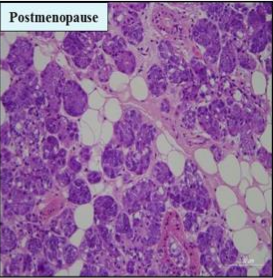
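This is salivary gland tissue in which lobules of purple-staining acini are interrupted by many large, round, empty-looking spaces. The spaces are clear with thin walls, the look of fat cells whose contents have washed out during processing. They gather especially along a pale pink band of connective tissue that runs across the field. The acini themselves are rounded clusters of cells with darker granular cytoplasm. Such abundant clear vacuoles among the acini are lipid vacuoles, a fatty replacement of the gland.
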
